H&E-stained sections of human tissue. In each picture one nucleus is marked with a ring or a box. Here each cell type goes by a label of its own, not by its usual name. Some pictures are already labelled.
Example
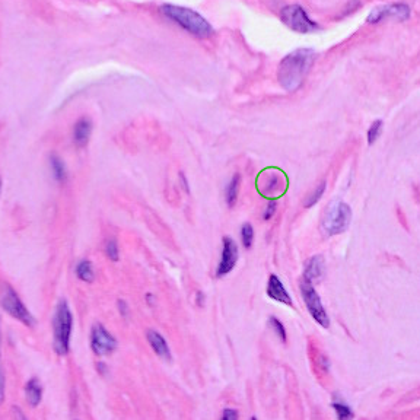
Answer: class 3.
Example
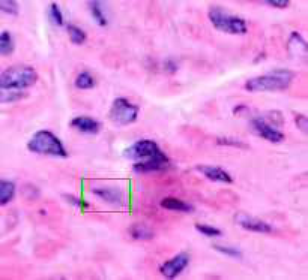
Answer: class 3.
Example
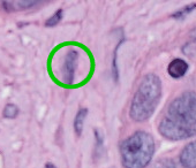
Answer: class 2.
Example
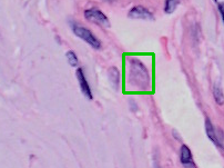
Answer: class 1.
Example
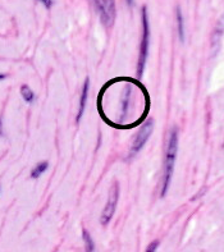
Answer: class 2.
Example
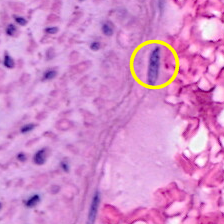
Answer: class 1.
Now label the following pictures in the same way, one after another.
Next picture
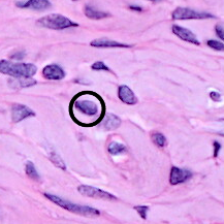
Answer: class 2.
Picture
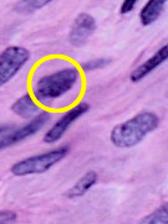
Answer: class 2.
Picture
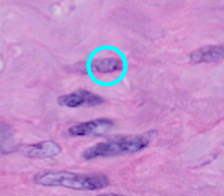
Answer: class 3.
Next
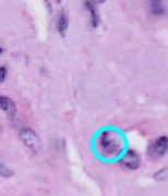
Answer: class 1.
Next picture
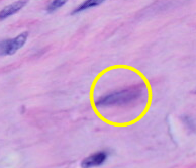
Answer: class 3.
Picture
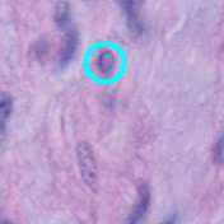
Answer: class 3.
